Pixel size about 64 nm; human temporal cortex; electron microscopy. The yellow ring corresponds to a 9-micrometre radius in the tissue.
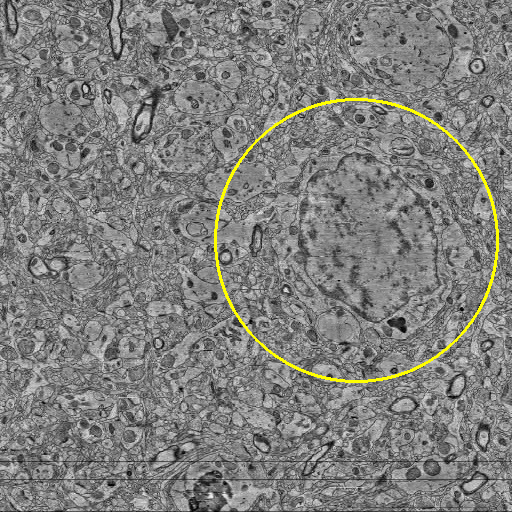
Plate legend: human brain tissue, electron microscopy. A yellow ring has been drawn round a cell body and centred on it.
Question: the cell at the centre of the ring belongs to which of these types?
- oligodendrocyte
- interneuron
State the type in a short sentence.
The cell in the middle of the ring is an interneuron.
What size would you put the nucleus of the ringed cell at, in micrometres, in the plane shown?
In this plane the nucleus measures roughly 11 by 9 micrometres.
